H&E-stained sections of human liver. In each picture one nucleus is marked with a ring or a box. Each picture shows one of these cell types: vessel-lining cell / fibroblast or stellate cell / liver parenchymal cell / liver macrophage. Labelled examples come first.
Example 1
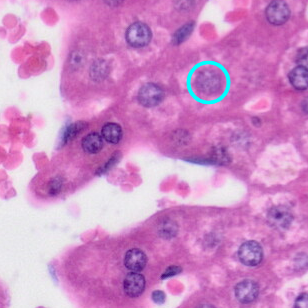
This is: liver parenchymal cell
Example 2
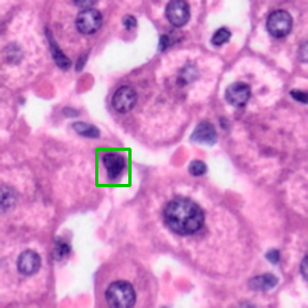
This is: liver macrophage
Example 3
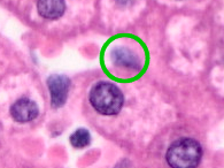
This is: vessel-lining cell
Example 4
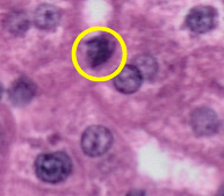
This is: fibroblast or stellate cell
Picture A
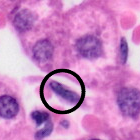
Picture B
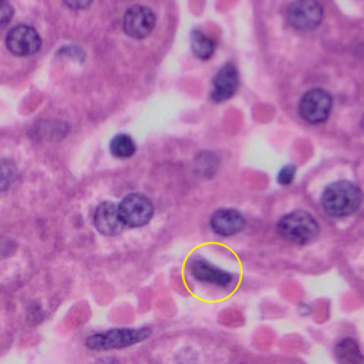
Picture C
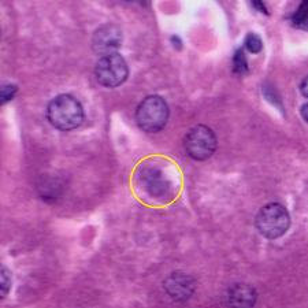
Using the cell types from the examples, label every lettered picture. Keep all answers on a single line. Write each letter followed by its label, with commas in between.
A liver macrophage, B liver macrophage, C liver macrophage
